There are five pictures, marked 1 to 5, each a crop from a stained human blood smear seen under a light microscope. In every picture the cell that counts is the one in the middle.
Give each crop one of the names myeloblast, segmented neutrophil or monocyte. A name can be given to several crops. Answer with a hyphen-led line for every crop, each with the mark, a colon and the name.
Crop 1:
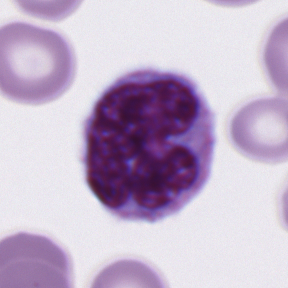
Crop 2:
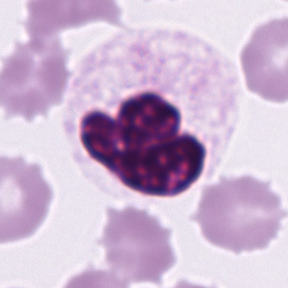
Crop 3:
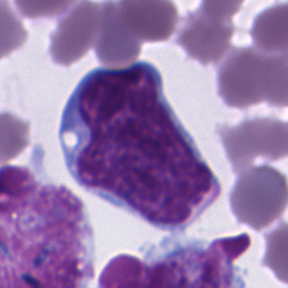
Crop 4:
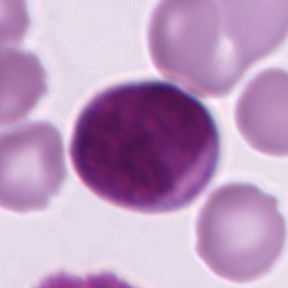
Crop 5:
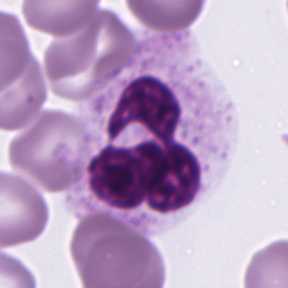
- 1: monocyte
- 2: segmented neutrophil
- 3: monocyte
- 4: myeloblast
- 5: segmented neutrophil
